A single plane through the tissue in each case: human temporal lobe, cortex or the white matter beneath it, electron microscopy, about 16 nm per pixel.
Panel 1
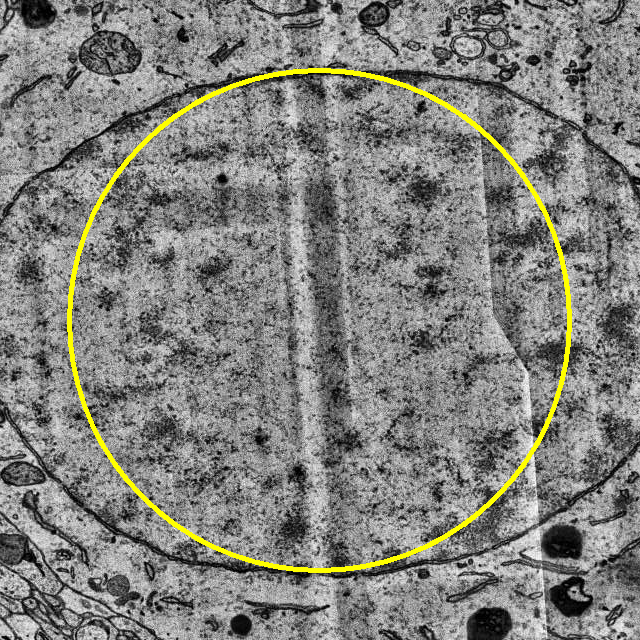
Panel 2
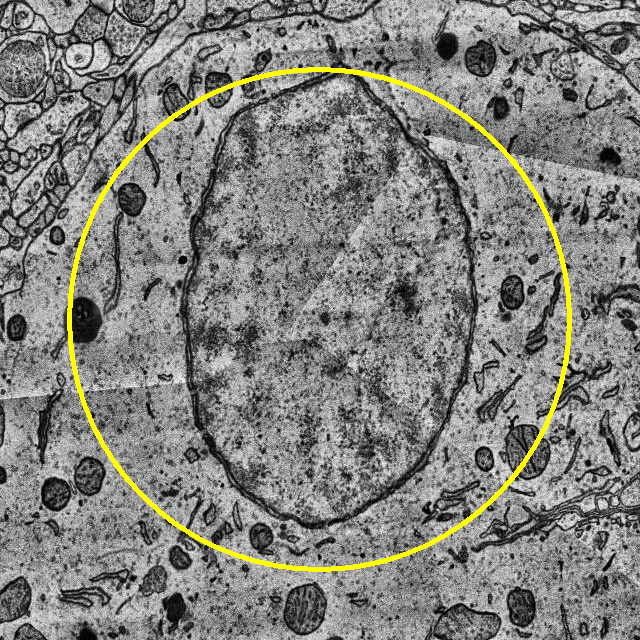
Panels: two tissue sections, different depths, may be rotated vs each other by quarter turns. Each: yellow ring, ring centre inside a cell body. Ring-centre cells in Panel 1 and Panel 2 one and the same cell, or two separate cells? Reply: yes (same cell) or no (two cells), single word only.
yes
